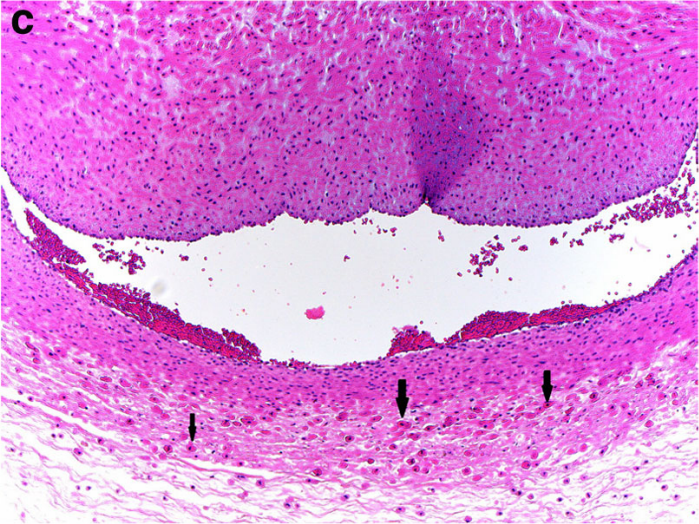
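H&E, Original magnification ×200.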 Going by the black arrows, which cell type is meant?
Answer: necrotic myocytes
